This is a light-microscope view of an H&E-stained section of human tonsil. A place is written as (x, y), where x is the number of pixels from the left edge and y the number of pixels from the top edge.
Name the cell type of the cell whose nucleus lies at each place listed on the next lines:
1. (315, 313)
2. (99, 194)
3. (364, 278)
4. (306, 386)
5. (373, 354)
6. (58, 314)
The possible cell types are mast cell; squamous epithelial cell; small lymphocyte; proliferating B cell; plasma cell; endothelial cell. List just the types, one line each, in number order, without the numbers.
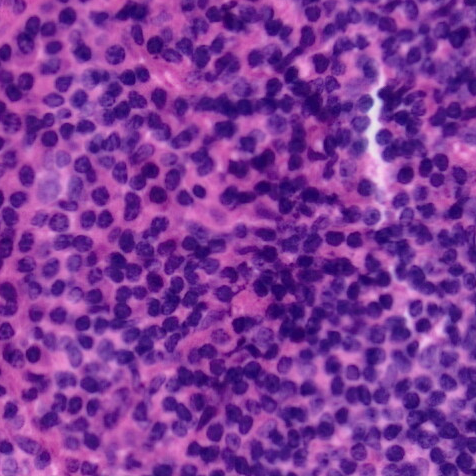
small lymphocyte
plasma cell
small lymphocyte
small lymphocyte
small lymphocyte
plasma cell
